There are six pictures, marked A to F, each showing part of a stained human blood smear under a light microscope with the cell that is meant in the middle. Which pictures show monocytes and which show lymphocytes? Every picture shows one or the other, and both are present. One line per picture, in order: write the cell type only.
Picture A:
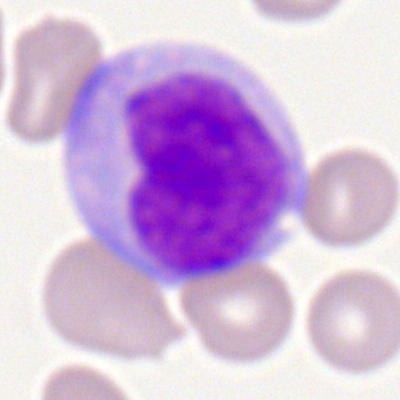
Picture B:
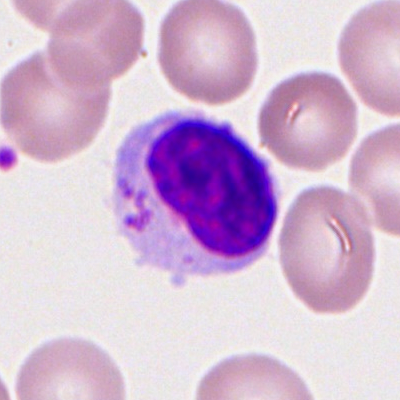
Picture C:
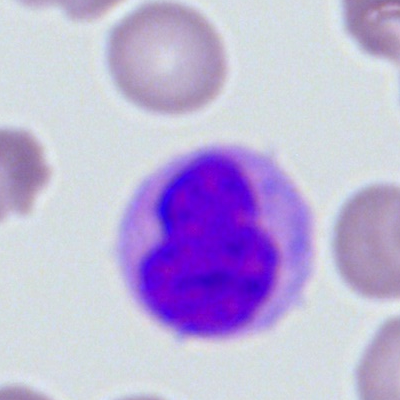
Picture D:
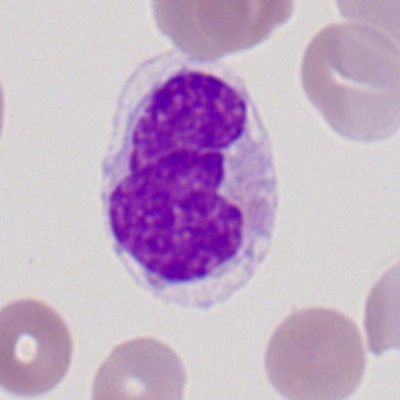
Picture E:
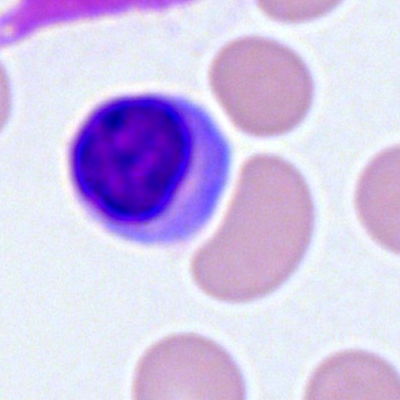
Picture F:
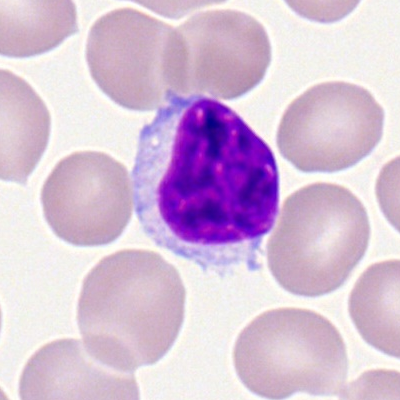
monocyte
lymphocyte
monocyte
monocyte
lymphocyte
lymphocyte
